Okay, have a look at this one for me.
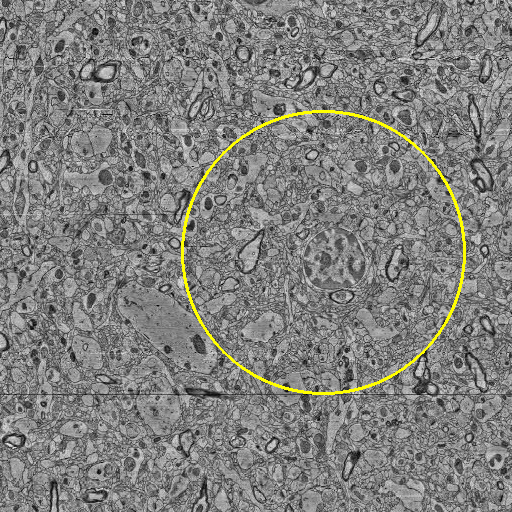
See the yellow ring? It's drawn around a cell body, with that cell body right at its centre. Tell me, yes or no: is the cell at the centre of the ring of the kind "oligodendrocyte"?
No, it belongs to another kind.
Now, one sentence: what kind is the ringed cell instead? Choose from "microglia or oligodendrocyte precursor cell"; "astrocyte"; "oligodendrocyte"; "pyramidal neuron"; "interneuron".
It is a microglial cell or oligodendrocyte precursor cell at the centre of the ring.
